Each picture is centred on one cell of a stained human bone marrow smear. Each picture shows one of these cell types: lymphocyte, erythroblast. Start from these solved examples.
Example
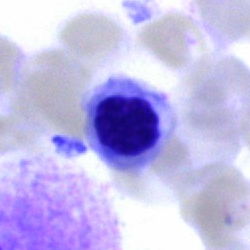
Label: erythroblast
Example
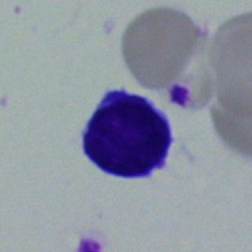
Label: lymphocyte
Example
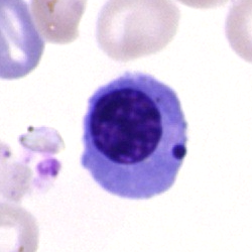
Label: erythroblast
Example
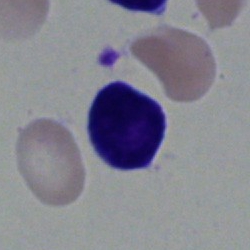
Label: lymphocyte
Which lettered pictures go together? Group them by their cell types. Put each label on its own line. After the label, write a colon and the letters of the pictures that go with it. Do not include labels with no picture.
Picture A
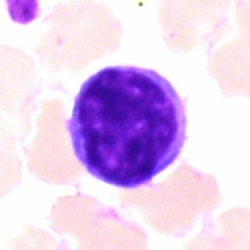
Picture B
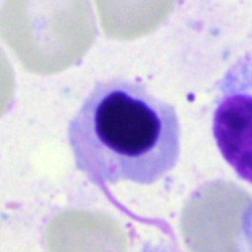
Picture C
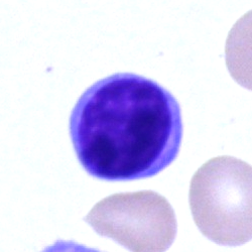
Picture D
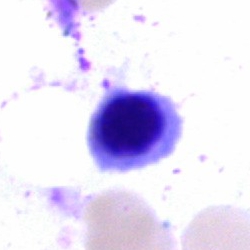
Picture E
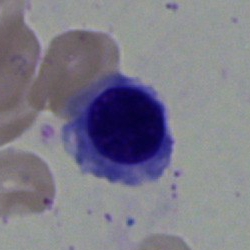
lymphocyte: A, C
erythroblast: B, D, E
